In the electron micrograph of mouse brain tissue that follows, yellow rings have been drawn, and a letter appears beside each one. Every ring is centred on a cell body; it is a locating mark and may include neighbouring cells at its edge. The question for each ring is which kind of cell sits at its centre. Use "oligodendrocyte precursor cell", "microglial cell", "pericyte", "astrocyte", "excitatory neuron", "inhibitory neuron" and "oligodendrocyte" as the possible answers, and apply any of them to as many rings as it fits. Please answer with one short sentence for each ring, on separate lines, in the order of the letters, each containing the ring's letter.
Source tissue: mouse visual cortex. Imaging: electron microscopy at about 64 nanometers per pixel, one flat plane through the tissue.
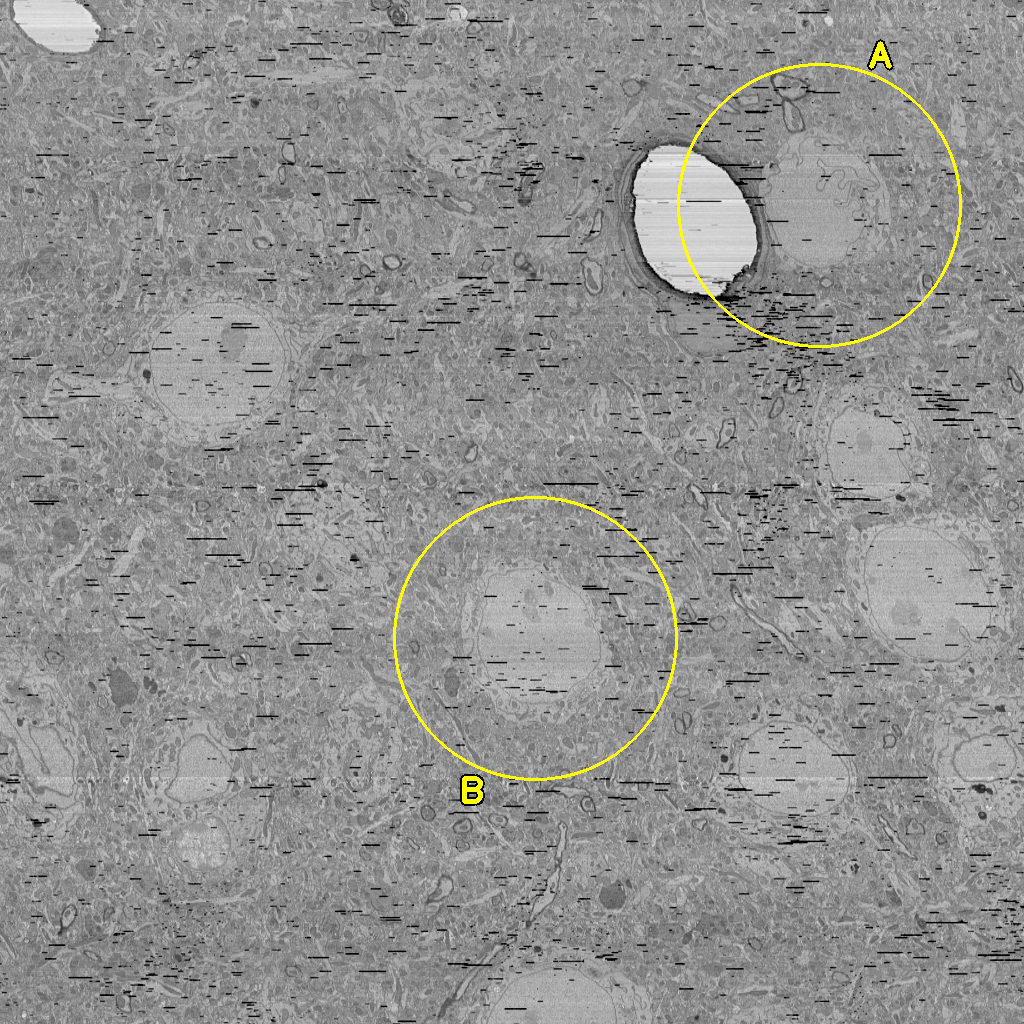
Sitting at the centre of ring A is an inhibitory neuron.
Sitting at the centre of ring B is an excitatory neuron.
